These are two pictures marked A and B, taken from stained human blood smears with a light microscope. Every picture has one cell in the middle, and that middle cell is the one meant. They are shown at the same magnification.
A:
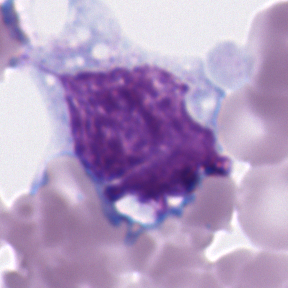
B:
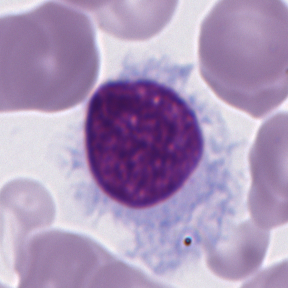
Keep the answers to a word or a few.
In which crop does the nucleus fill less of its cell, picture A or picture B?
B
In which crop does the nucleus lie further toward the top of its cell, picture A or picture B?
B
